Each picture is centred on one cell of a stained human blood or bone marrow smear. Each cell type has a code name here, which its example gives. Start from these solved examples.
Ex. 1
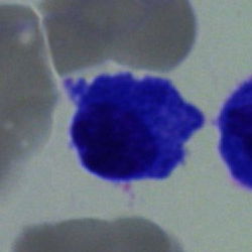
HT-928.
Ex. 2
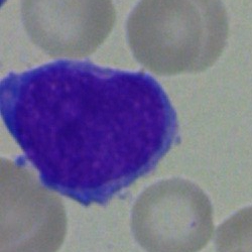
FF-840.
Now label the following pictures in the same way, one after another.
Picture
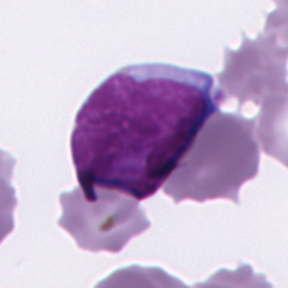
FF-840.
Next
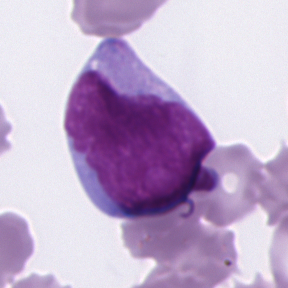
FF-840.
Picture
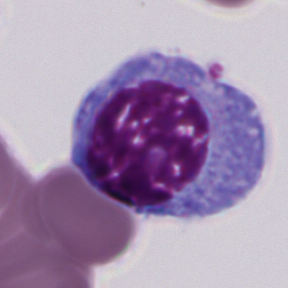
HT-928.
